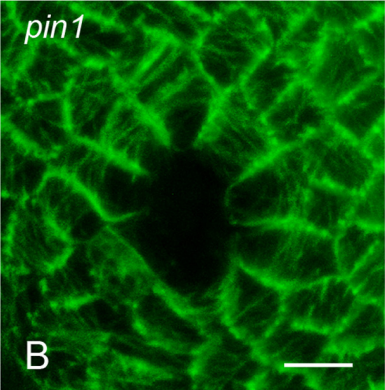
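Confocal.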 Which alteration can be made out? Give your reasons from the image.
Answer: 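A dark region without fluorescence lies in the centre. Green filament arrays in the surrounding cells run roughly around the dark region rather than toward it.
Answer: circumferential microtubule orientation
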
